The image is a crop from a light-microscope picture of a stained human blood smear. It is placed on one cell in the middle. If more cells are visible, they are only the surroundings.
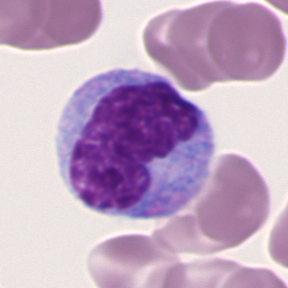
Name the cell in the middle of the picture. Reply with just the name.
monocyte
